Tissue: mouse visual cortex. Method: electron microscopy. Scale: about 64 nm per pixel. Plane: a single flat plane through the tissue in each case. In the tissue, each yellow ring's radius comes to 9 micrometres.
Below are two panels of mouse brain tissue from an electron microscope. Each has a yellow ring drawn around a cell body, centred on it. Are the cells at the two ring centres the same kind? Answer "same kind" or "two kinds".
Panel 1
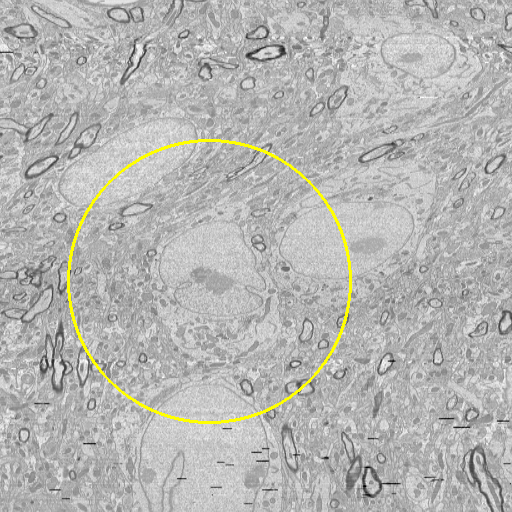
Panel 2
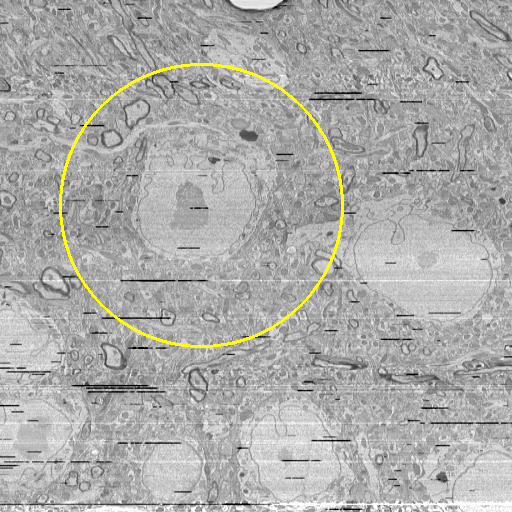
same kind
